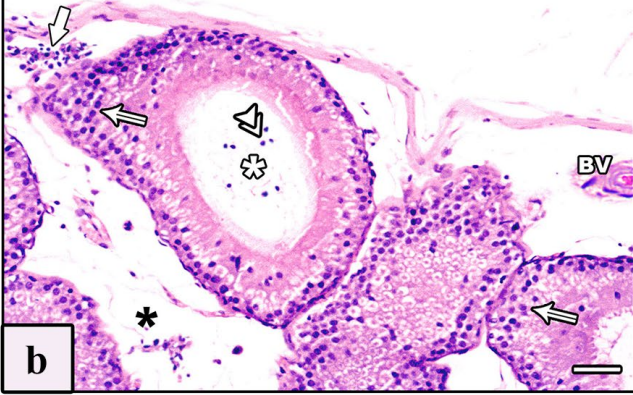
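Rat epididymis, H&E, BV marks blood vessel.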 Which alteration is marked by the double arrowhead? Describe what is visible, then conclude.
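Exfoliated cells. Scattered dark round nuclei lie free in the otherwise clear lumen of the tubule.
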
